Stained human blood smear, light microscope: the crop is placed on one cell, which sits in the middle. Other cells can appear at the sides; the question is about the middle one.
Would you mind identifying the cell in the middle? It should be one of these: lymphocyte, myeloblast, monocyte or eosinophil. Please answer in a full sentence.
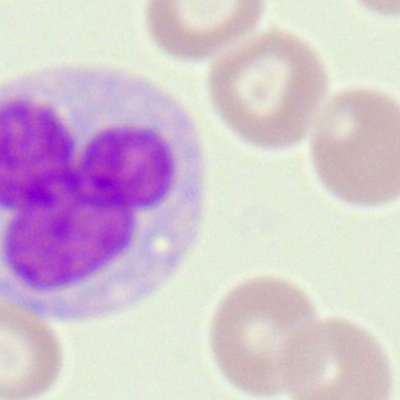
The cell featured at the centre of this crop is a monocyte.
